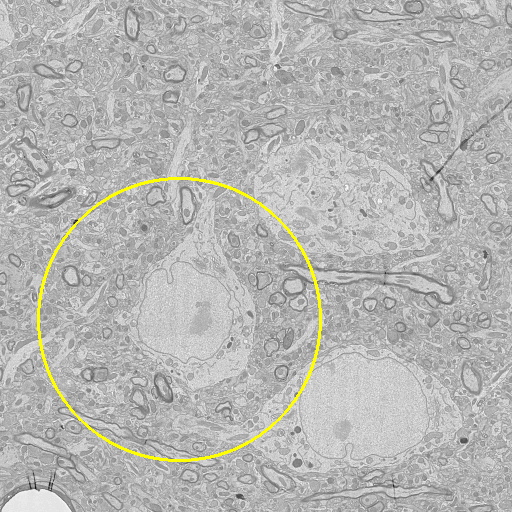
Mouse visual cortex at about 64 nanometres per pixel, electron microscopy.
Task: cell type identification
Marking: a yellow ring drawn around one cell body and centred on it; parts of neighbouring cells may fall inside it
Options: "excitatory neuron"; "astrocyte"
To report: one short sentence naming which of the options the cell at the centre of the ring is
The cell at the centre of the ring is an excitatory neuron.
